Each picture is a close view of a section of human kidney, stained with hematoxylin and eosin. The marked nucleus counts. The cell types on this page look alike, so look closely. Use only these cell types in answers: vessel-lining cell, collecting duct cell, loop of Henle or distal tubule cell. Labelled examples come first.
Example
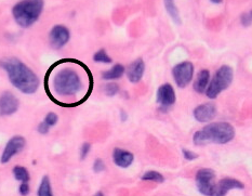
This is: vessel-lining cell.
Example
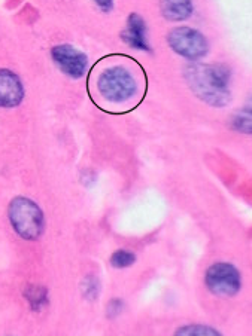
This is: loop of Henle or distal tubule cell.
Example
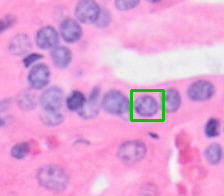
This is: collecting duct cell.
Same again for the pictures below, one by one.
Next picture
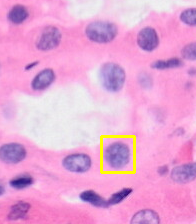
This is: loop of Henle or distal tubule cell.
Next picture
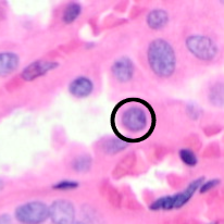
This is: loop of Henle or distal tubule cell.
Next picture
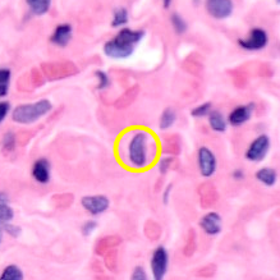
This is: vessel-lining cell.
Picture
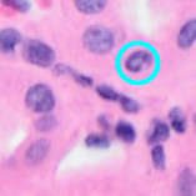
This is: collecting duct cell.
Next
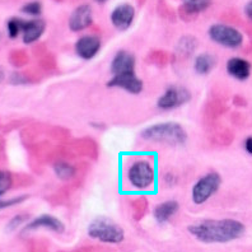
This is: vessel-lining cell.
